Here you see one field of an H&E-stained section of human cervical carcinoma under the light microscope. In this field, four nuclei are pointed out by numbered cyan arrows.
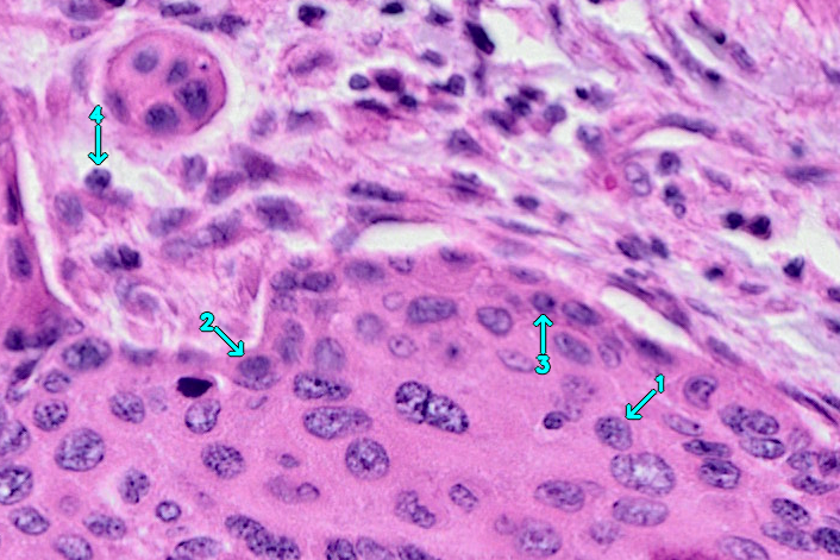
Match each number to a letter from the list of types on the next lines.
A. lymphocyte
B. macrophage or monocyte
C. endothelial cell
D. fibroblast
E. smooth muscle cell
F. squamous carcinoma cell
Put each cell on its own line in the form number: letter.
1: F
2: F
3: F
4: A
